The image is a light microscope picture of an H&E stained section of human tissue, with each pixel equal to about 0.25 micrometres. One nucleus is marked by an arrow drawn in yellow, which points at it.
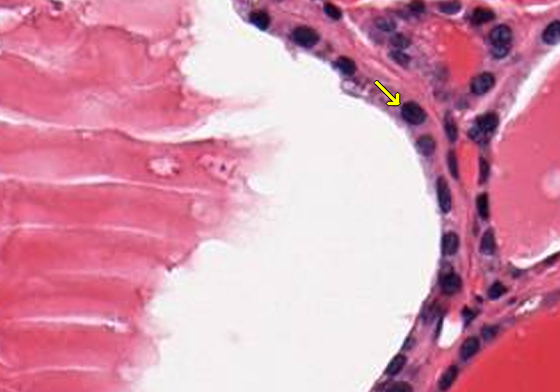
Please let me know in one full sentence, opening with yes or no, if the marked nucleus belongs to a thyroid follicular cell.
Yes, the marked nucleus lies within a thyroid follicular cell.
